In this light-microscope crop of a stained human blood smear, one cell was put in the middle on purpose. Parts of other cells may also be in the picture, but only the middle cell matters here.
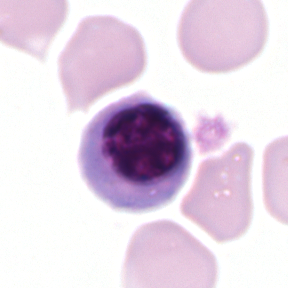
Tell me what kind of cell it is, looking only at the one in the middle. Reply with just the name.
normoblast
